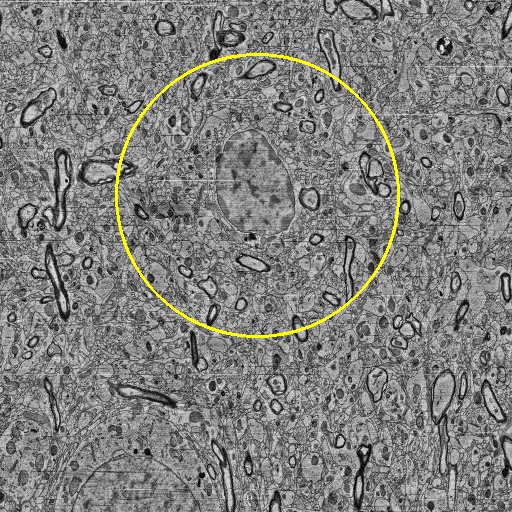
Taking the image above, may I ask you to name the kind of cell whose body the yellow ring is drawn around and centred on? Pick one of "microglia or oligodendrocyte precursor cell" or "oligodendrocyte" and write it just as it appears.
microglia or oligodendrocyte precursor cell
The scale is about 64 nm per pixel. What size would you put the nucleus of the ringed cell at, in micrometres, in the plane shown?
Approximately 8 by 5 micrometers, which makes the nucleus clearly longer than it is wide in this plane.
